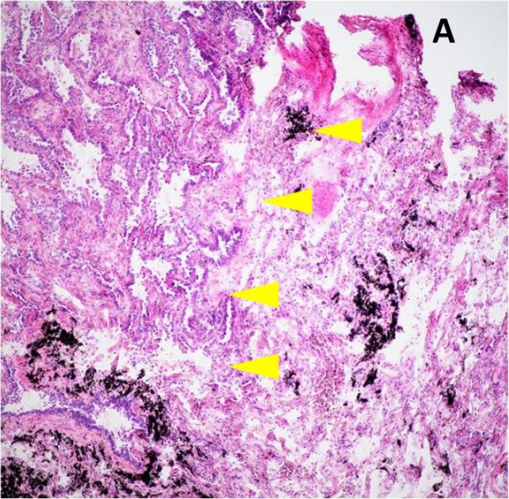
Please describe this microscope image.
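Lung tissue with papillary adenocarcinoma on the left and normal lung on the right. On the left, branching papillary fronds are lined by crowded epithelial cells with dark purple nuclei. Clumps of black pigment are scattered through both regions and are heaviest at the lower left, and dense pink material lies at the top edge.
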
